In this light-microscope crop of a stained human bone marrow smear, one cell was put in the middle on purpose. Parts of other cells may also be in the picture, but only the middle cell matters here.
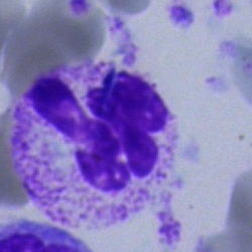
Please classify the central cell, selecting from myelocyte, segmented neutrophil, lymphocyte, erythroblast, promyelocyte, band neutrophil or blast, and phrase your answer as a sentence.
To answer, the cell in the center of the crop is a segmented neutrophil.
